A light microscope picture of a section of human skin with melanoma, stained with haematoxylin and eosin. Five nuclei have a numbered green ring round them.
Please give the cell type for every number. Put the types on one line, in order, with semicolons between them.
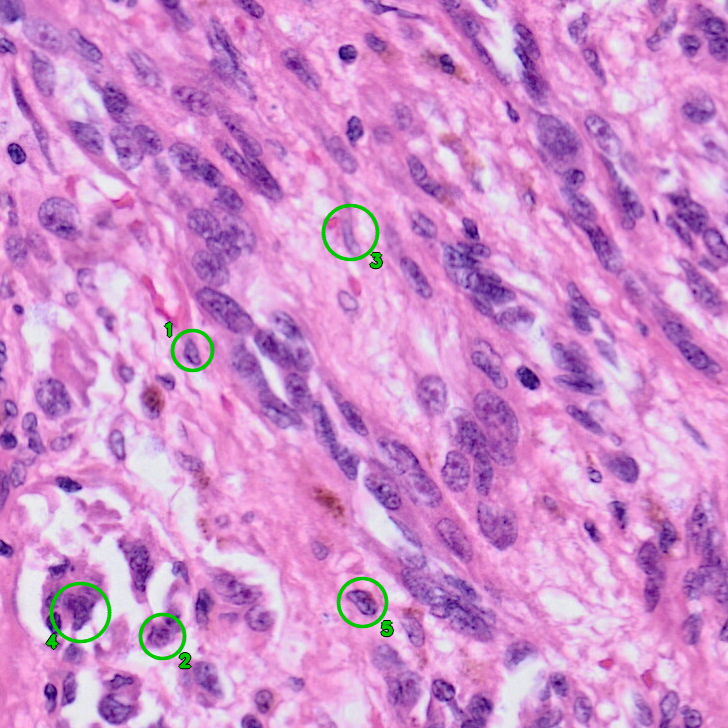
macrophage or monocyte; melanoma cell; fibroblast or myofibroblast; melanoma cell; macrophage or monocyte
